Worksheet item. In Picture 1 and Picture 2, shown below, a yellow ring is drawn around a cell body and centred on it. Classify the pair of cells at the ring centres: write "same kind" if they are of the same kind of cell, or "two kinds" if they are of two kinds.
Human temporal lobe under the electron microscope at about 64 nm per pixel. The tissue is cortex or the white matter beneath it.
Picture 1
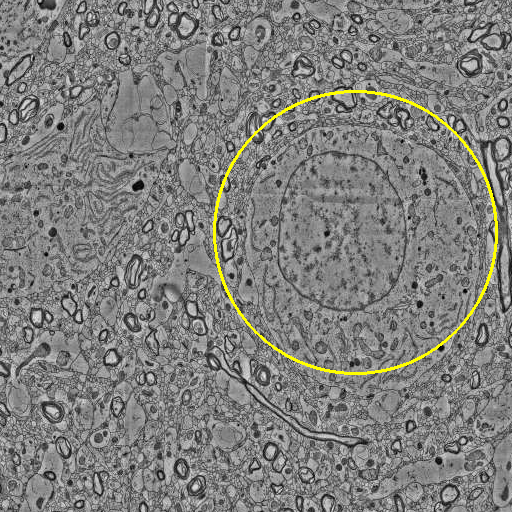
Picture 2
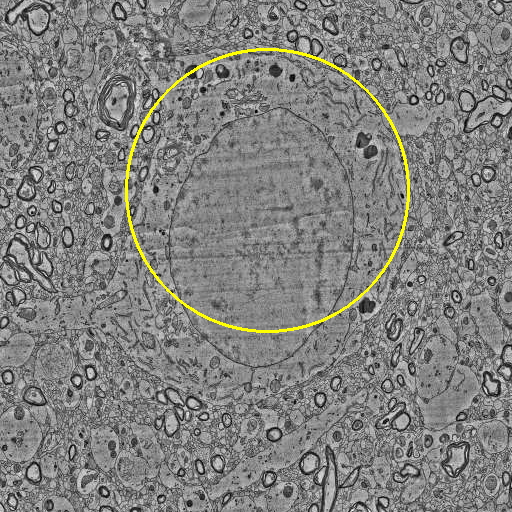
same kind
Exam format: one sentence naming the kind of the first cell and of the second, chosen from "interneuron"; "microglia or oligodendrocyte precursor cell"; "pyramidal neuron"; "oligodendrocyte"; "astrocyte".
Each one of the two ringed cells is a pyramidal neuron.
